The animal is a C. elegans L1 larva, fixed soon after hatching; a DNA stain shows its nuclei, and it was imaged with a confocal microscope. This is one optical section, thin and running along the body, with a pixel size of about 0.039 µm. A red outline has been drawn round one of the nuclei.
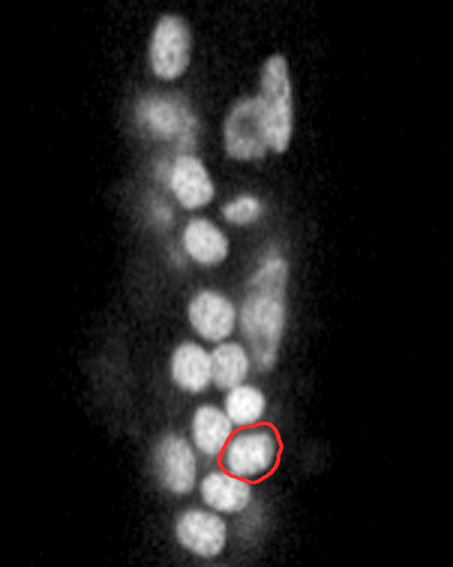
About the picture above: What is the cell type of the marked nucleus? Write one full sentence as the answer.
The marked nucleus belongs to a neuron.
